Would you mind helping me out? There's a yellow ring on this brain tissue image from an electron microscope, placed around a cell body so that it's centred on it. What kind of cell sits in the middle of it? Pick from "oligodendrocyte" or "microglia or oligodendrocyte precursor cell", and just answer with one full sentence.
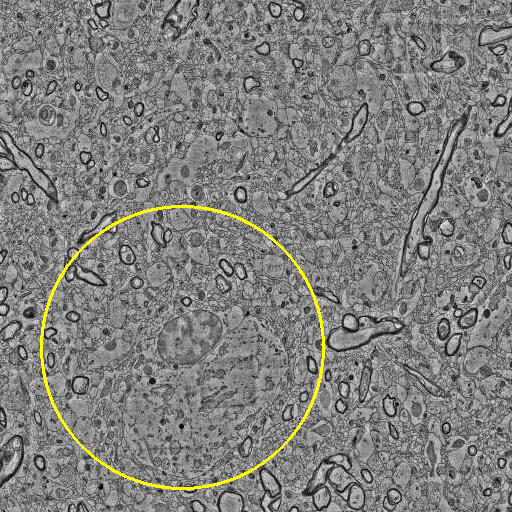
What sits in the middle of that yellow ring is a microglial cell or oligodendrocyte precursor cell, from your choices.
